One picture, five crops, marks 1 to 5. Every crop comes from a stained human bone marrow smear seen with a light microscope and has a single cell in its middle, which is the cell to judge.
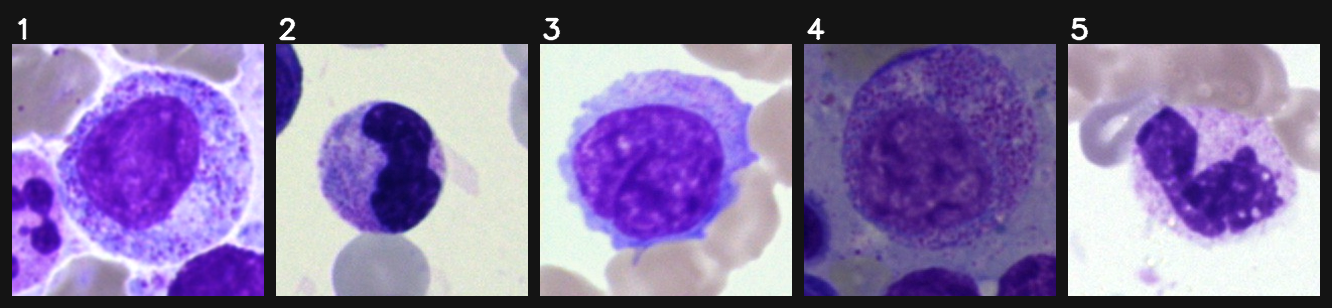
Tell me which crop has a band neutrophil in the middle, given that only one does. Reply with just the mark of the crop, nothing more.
2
